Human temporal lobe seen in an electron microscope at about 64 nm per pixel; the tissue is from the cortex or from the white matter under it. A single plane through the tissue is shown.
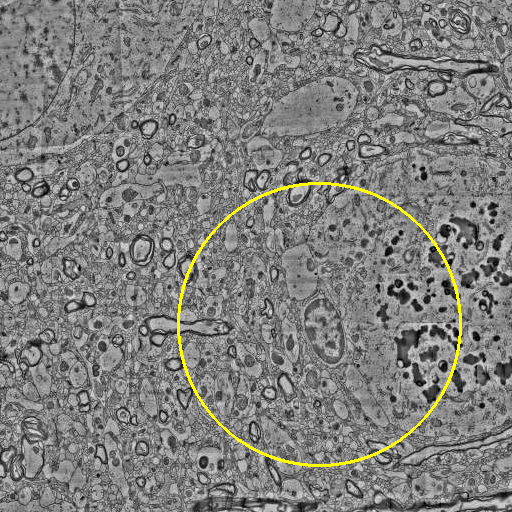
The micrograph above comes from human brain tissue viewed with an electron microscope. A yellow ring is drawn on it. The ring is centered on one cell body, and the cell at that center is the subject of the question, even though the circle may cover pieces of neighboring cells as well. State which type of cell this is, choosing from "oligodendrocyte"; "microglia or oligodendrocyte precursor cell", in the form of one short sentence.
The cell the ring is centered on is a microglial cell or oligodendrocyte precursor cell.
